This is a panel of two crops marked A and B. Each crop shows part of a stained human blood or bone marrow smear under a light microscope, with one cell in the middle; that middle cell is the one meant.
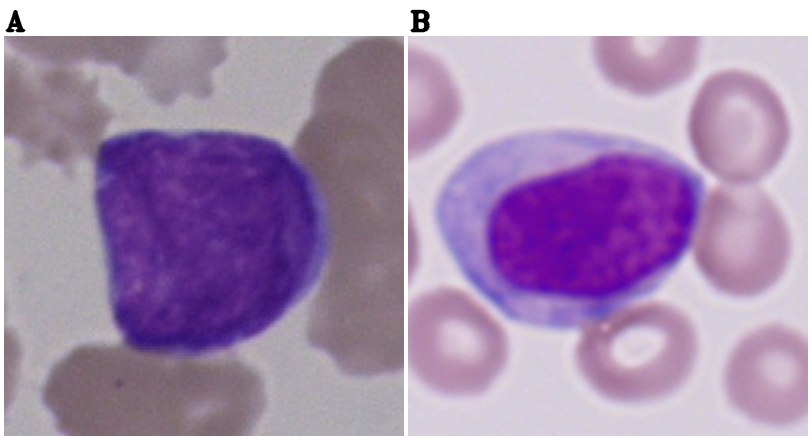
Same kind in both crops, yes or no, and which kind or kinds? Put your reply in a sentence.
Yes, in the case of both crops, the central cells are blasts.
